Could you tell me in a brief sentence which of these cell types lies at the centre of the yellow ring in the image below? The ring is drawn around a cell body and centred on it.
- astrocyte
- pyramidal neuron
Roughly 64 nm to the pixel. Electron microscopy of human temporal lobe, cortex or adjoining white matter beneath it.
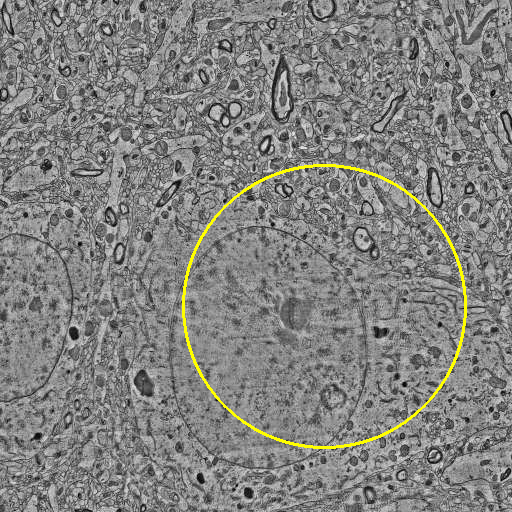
The cell centred in the ring is a pyramidal neuron.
